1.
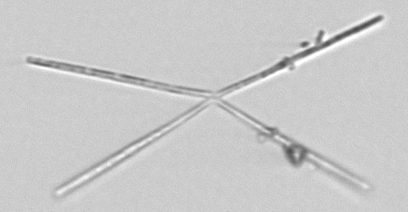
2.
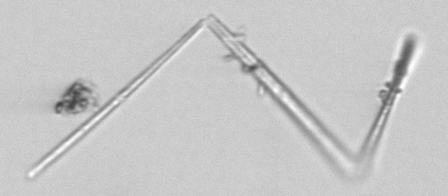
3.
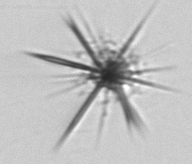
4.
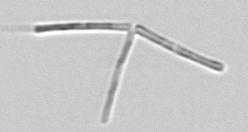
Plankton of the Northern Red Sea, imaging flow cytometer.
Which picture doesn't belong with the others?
Picture 3.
